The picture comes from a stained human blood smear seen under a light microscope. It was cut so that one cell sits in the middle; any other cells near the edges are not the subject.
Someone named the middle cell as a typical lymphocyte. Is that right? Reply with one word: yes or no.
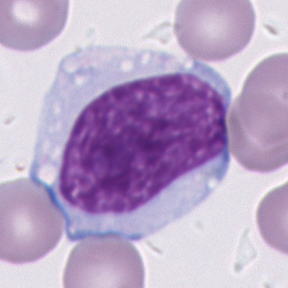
no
